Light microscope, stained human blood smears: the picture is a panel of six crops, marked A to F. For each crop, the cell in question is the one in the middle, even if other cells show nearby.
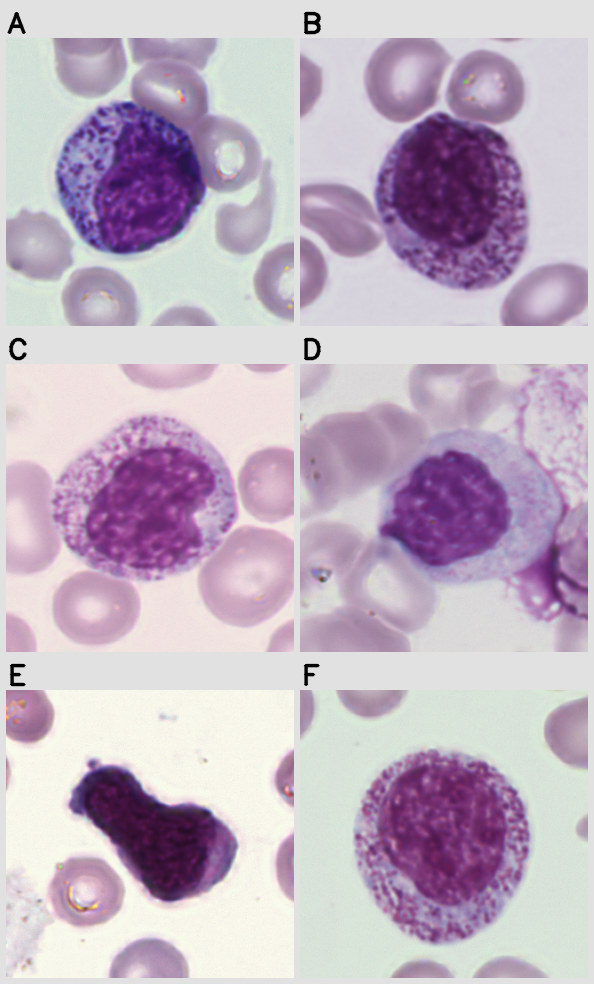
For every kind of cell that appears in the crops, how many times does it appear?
myelocyte: 5
atypical promyelocyte: 1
